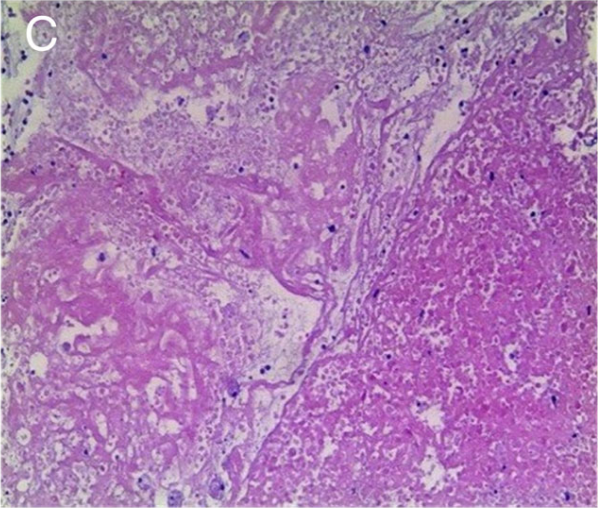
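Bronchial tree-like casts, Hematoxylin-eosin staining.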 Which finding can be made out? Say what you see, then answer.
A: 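Pale pink, amorphous and granular flaky material fills most of the field. Only sparse, scattered dark purple nuclei are present. No organized tissue architecture or intact cell layers are visible. The answer: necrotic tissue.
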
